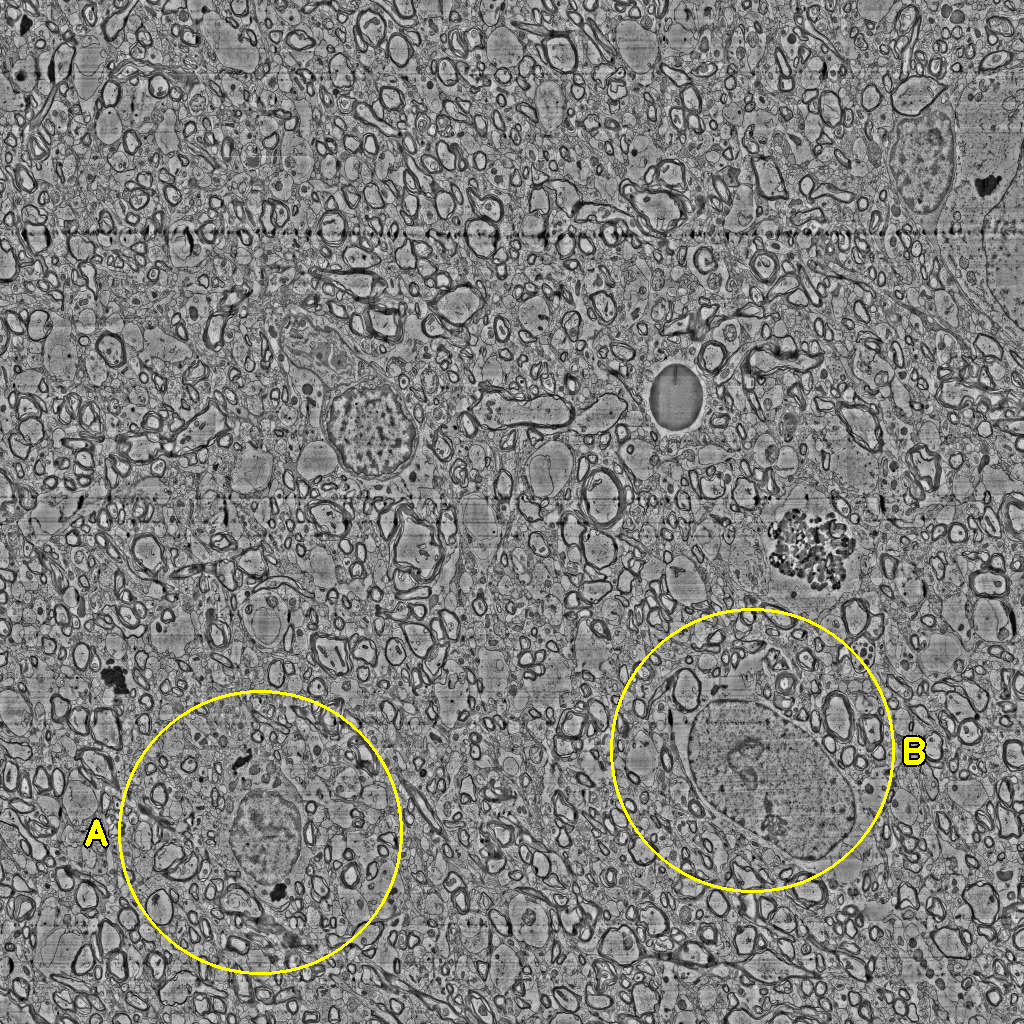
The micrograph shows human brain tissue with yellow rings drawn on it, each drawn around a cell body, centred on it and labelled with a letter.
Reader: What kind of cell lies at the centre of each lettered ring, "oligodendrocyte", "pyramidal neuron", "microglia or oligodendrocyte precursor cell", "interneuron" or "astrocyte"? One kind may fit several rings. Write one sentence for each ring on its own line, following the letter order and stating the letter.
At the centre of ring A lies an oligodendrocyte.
At the centre of ring B lies an astrocyte.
